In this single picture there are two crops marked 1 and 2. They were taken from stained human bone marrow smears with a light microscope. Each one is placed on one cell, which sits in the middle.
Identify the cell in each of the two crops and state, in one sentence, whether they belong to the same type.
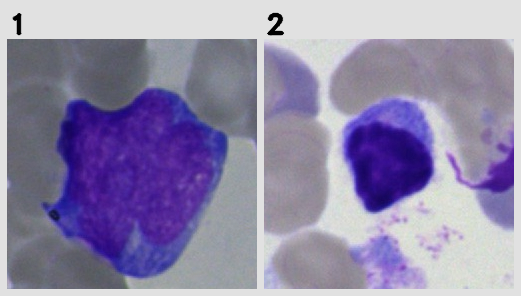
No, crop 1 shows a blast, whereas in crop 2 the cell is a lymphocyte.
